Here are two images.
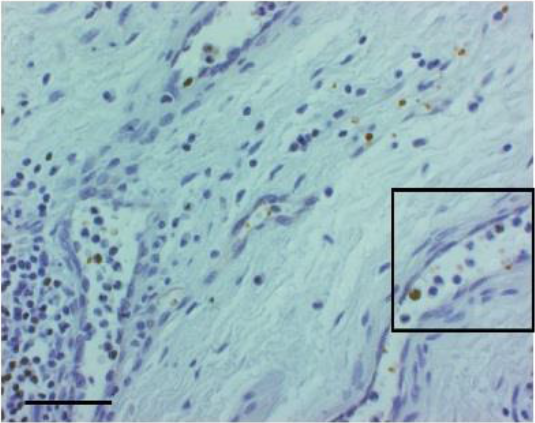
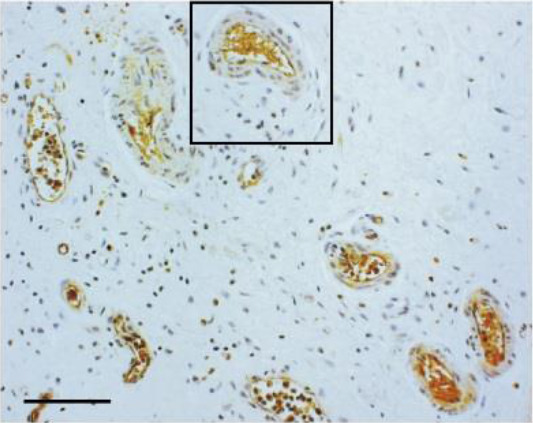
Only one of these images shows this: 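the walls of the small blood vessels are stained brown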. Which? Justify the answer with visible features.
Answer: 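The second image. Second image: many small vessel profiles with brown-stained walls in the stroma. First image: stroma with blue nuclei and only a few scattered brown dots, no brown vessel walls.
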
